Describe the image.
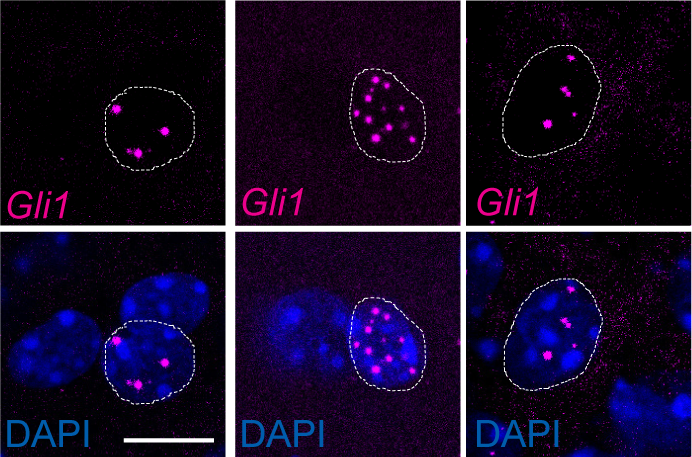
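The puncta lie within the outlined nucleus, only a few in the left and right columns and clearly more in the middle column. The blue nuclei show brighter chromatin spots, and adjacent nuclei sit close beside the outlined one.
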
